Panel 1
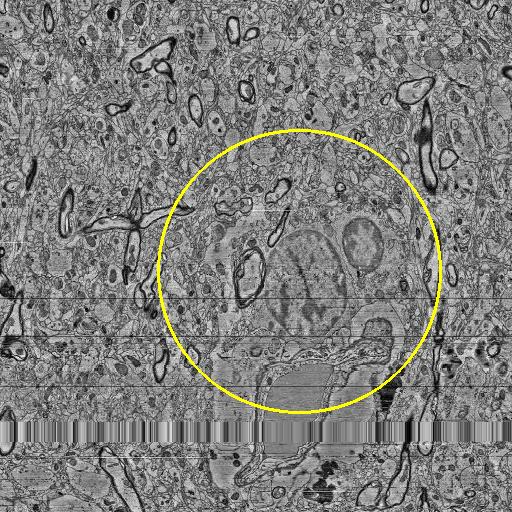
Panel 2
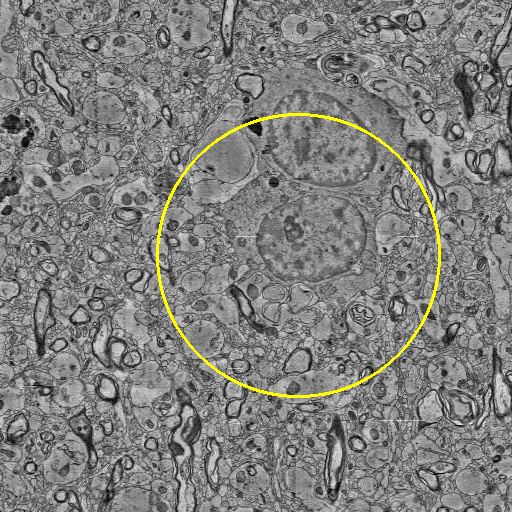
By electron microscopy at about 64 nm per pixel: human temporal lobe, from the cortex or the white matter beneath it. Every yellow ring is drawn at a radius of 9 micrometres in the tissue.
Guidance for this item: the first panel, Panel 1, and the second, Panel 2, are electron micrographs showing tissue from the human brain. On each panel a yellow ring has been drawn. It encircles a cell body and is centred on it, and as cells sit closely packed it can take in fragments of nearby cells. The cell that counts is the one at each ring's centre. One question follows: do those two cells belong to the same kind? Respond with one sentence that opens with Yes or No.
Yes, the cells at the ring centres in Panel 1 and Panel 2 are of one kind.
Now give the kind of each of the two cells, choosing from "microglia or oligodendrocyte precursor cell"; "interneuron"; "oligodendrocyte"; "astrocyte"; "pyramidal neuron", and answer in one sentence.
Both rings mark an oligodendrocyte, one in each picture.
